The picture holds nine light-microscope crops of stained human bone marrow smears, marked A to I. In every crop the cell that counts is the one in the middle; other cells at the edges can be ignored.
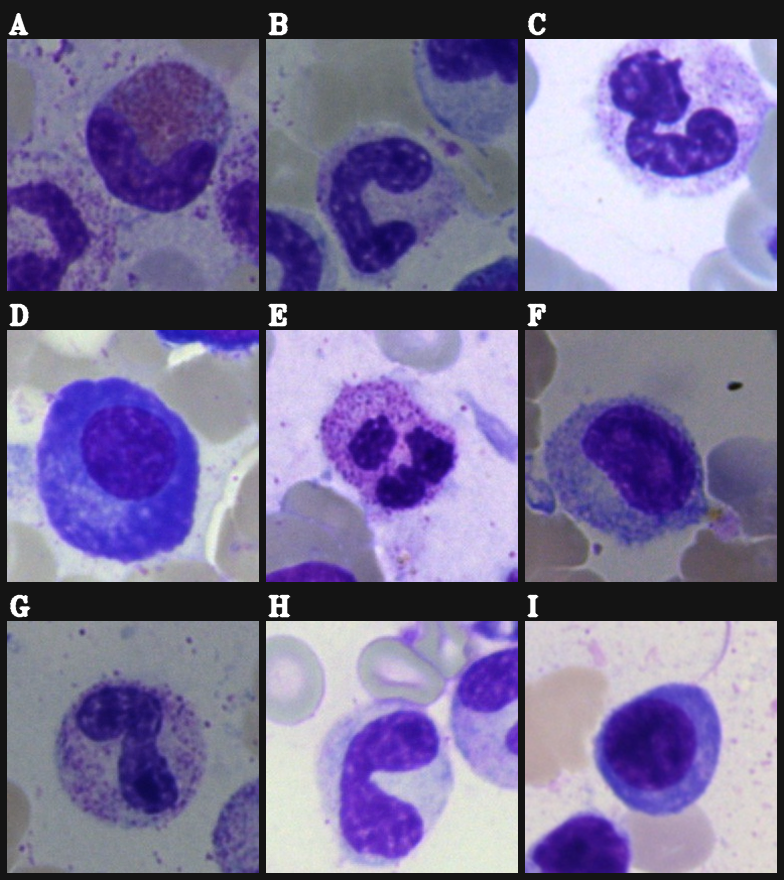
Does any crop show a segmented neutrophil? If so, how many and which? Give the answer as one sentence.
The crops depicting segmented neutrophils, three in total, are C, E and H.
